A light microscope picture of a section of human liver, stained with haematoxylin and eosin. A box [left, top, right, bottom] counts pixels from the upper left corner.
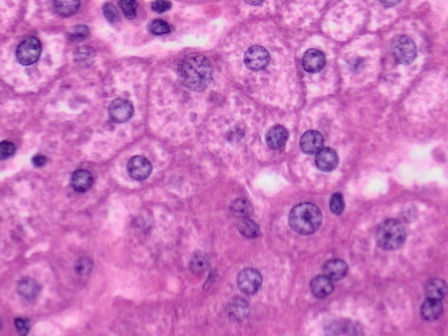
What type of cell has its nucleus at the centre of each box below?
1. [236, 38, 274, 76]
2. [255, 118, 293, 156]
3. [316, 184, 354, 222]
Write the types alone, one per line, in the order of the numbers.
hepatocyte
hepatocyte
fibroblast or stellate cell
